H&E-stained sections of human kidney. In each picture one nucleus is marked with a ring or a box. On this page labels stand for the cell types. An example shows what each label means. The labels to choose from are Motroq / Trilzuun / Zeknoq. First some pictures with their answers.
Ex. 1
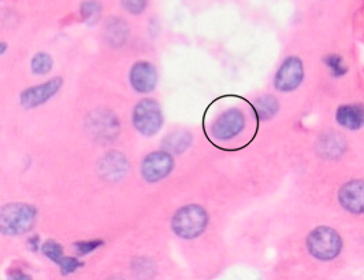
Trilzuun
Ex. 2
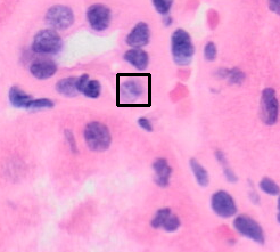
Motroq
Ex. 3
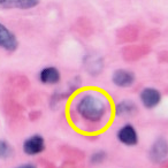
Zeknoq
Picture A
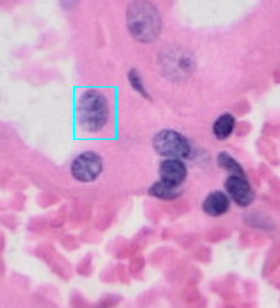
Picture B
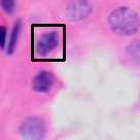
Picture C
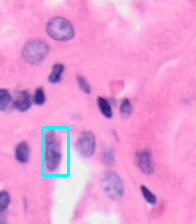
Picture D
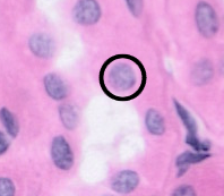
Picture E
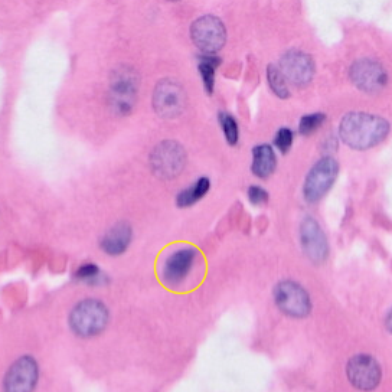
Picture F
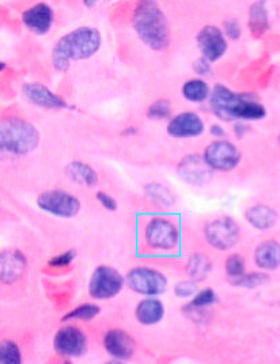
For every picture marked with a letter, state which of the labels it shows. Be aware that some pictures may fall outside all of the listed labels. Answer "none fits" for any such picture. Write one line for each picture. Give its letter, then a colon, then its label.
A: Trilzuun
B: Trilzuun
C: Trilzuun
D: Trilzuun
E: Zeknoq
F: Trilzuun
